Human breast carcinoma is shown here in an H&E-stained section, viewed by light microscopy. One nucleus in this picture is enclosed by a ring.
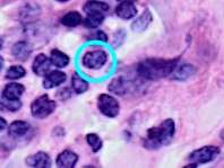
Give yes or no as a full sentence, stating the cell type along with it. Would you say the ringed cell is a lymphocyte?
Yes, the ringed cell is a lymphocyte in this section.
